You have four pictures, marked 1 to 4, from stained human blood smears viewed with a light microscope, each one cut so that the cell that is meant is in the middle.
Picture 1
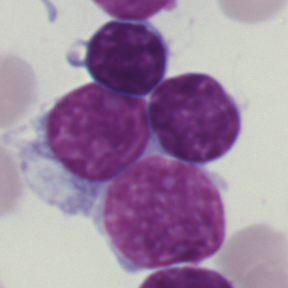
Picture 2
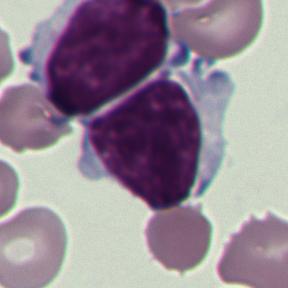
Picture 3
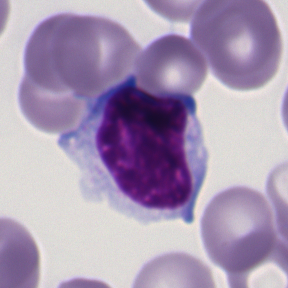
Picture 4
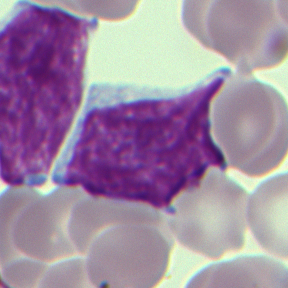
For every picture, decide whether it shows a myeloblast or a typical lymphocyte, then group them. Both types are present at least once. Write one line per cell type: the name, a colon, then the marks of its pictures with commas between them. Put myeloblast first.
myeloblast: 1
typical lymphocyte: 2, 3, 4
